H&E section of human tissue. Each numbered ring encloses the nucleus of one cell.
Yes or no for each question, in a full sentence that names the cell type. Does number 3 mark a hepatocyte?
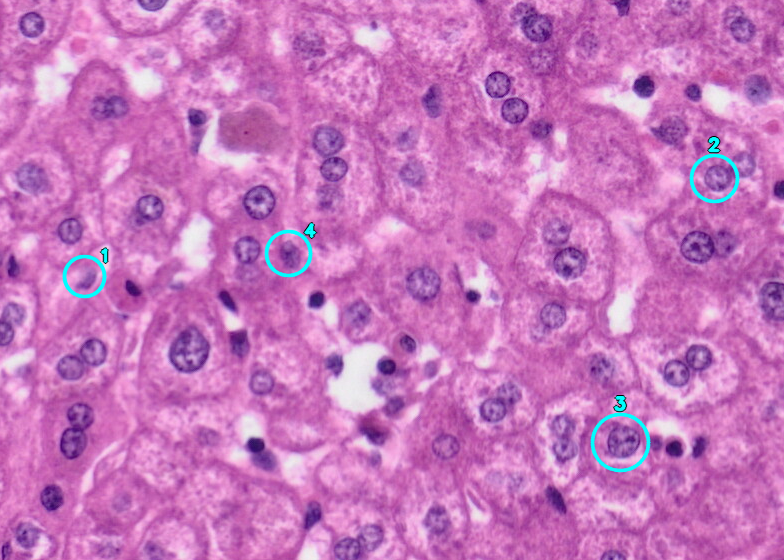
Yes, in this section the cell with number 3 is a hepatocyte.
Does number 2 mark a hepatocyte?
Yes, that is so; number 2 marks a hepatocyte.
